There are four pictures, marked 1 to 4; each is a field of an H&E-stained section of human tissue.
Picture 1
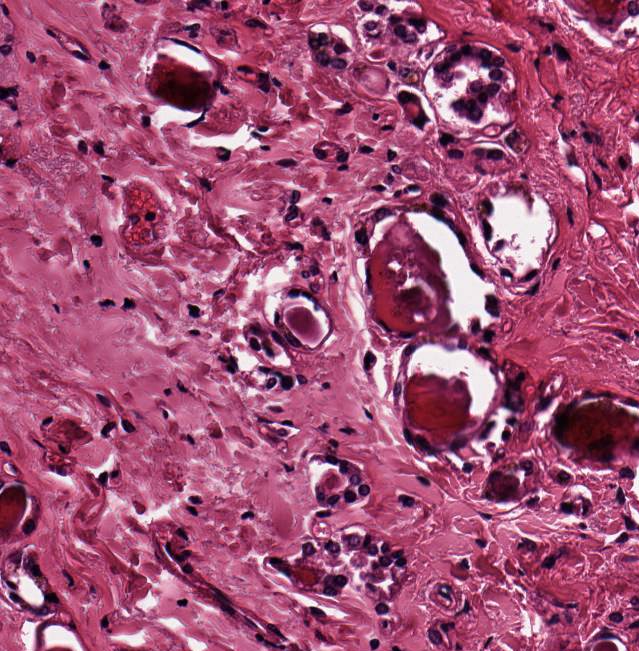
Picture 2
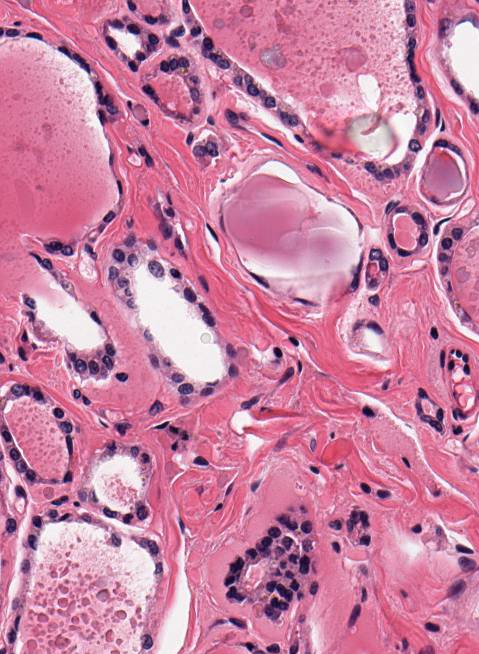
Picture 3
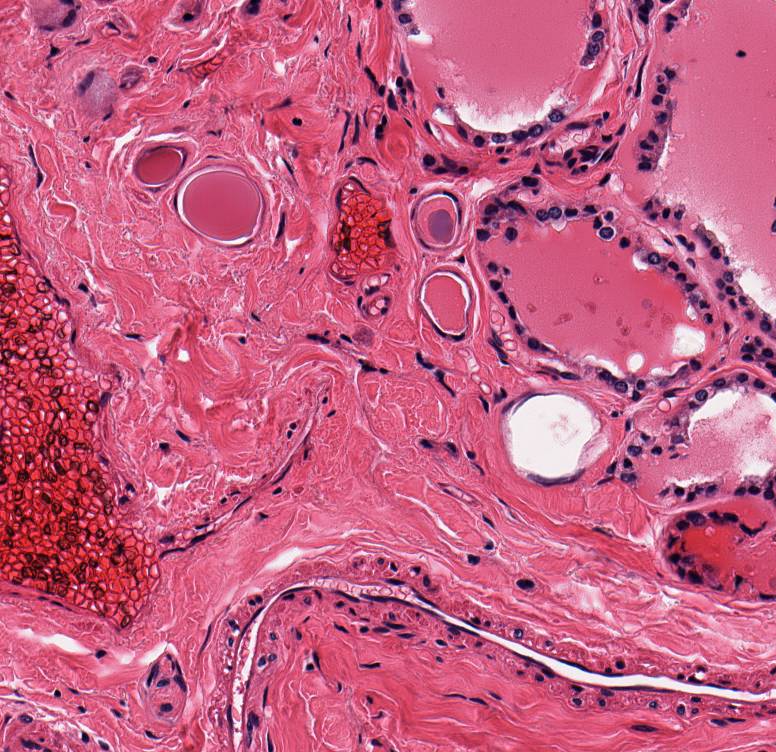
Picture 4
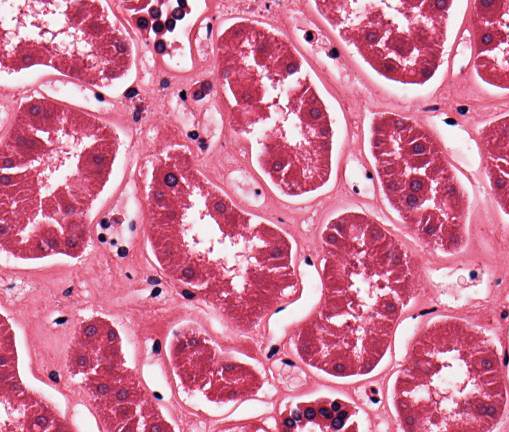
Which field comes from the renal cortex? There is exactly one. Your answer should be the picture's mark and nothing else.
4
